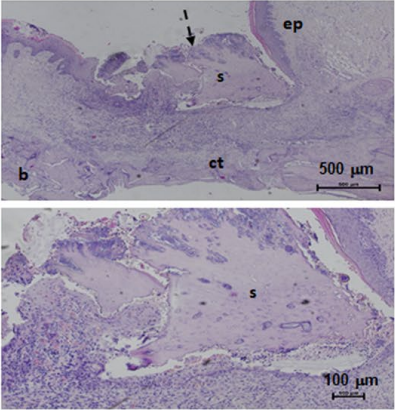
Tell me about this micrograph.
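A large pale pink mass of bone, with few stained nuclei, lies in the middle and reaches up to the opening in the surface. Around and below this bone, the tissue is crowded with small, dark purple nuclei, a dense cellular infiltrate. Connective tissue and further bone lie in the deeper part of the field.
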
